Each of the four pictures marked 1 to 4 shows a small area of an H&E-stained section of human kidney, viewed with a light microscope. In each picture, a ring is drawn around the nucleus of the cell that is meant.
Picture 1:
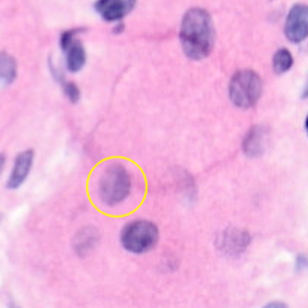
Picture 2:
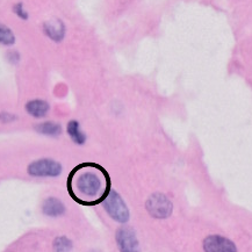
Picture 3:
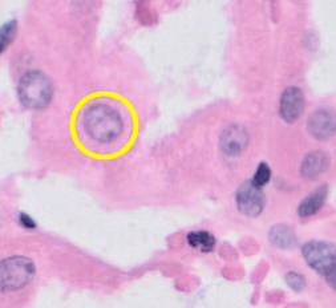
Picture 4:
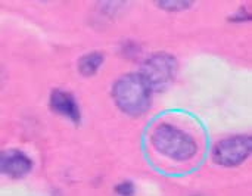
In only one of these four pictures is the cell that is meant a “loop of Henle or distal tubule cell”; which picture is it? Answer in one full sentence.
The cell in picture 4 is the “loop of Henle or distal tubule cell”.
